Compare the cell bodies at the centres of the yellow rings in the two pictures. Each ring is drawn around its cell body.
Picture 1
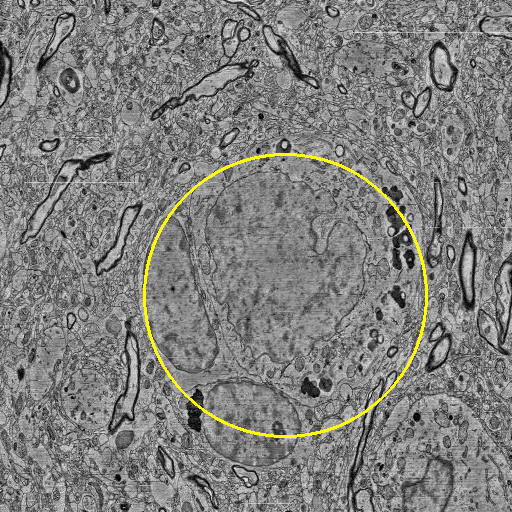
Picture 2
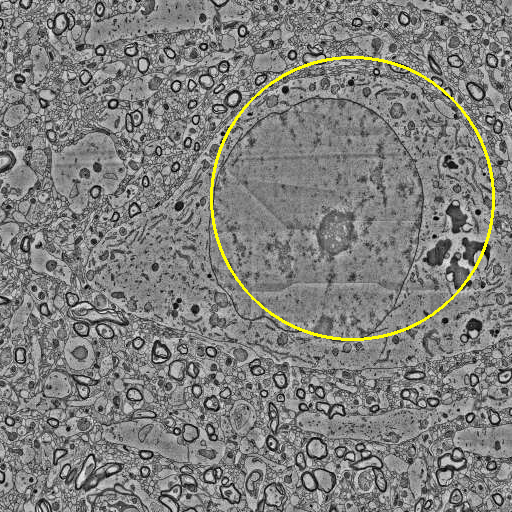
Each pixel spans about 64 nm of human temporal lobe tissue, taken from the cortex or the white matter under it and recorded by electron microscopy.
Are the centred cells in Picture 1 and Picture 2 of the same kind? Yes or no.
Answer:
no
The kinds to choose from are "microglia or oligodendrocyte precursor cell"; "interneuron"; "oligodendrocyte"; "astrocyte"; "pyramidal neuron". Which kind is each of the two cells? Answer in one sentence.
Of the two, the first cell is an interneuron and the second cell is a pyramidal neuron.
